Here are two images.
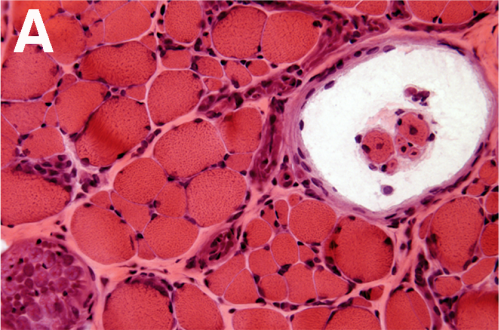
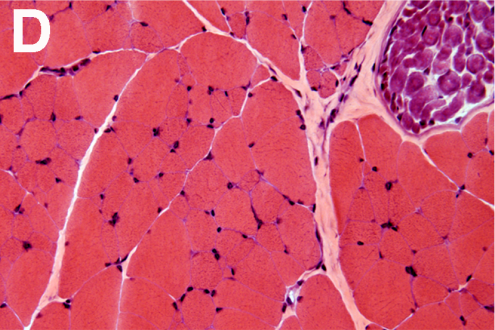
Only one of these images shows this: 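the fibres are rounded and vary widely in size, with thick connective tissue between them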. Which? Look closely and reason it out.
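Second image: large polygonal fibres of fairly even size pressed closely together with thin septa. First image: fibres of very different sizes, many rounded, separated by wide nucleated connective tissue.
Hence: the first image.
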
